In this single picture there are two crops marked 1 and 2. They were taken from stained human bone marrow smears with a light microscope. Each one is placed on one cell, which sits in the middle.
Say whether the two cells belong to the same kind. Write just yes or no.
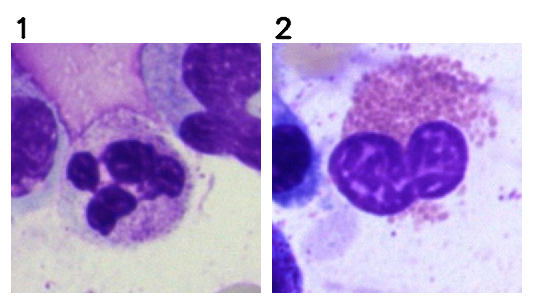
no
